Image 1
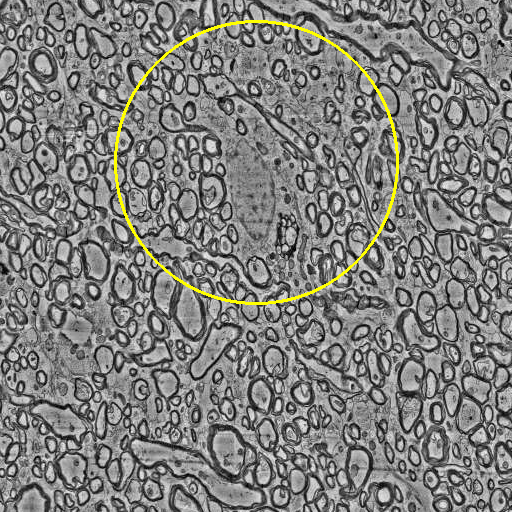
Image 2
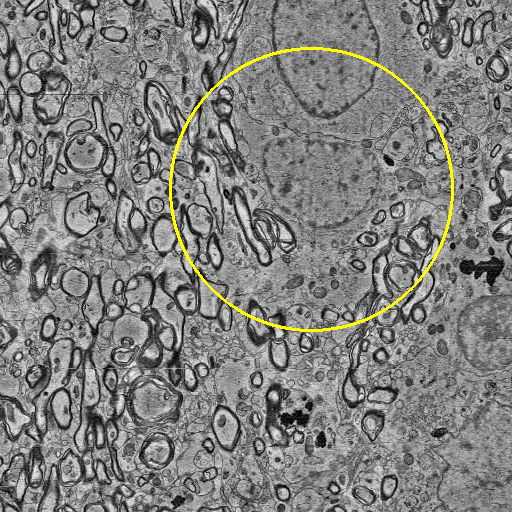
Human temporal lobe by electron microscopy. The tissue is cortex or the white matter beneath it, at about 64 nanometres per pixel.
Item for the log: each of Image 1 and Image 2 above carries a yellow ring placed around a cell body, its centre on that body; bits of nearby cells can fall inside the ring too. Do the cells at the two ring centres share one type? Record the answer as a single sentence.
Yes, the two cells at the ring centres in Image 1 and Image 2 share one type.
